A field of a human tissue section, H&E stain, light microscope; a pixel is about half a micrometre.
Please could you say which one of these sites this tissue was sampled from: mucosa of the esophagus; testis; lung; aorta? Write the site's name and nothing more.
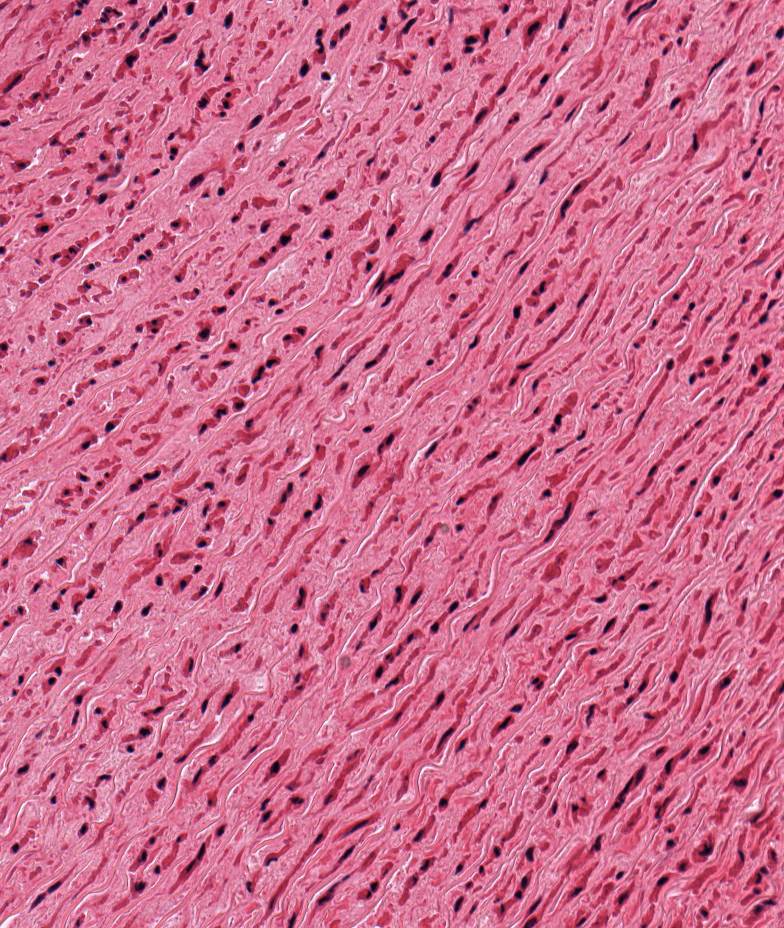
aorta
